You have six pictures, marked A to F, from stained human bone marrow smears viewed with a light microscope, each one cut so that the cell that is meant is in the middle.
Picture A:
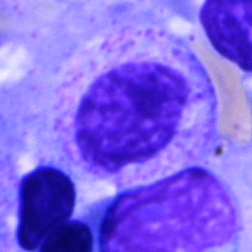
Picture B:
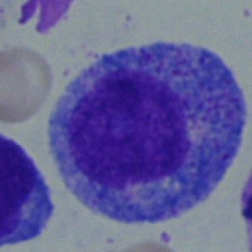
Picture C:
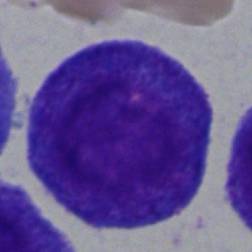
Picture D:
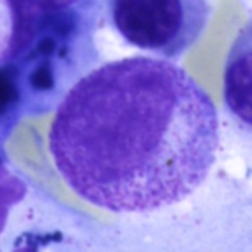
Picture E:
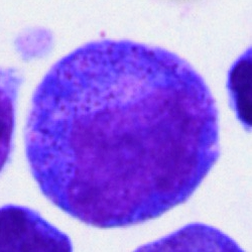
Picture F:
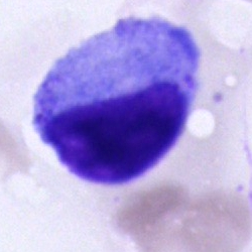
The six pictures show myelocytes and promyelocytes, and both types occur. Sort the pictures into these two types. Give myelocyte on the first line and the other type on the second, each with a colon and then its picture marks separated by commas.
myelocyte: A, D
promyelocyte: B, C, E, F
